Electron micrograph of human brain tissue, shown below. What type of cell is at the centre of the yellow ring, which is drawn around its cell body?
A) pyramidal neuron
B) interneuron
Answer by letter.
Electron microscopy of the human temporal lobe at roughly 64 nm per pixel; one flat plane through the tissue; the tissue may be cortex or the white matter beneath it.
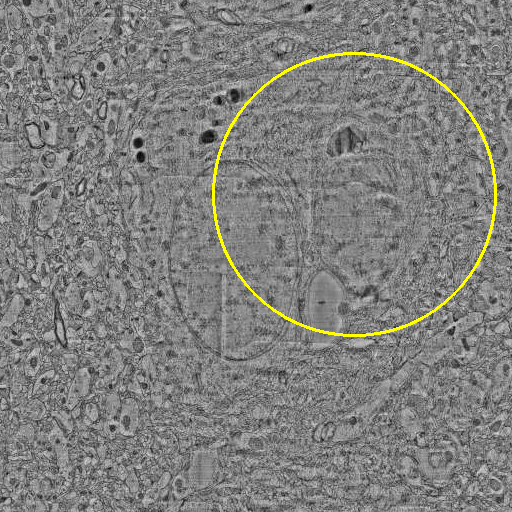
B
